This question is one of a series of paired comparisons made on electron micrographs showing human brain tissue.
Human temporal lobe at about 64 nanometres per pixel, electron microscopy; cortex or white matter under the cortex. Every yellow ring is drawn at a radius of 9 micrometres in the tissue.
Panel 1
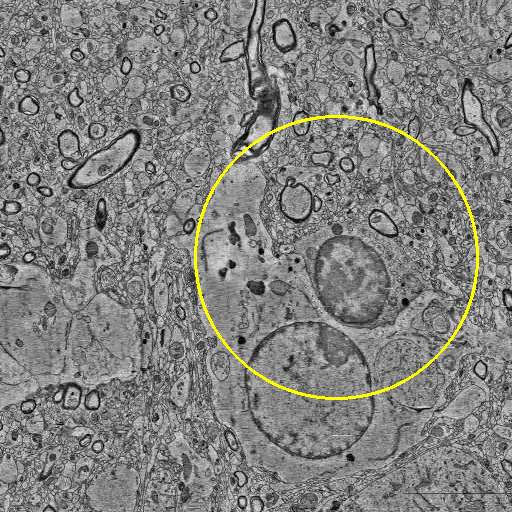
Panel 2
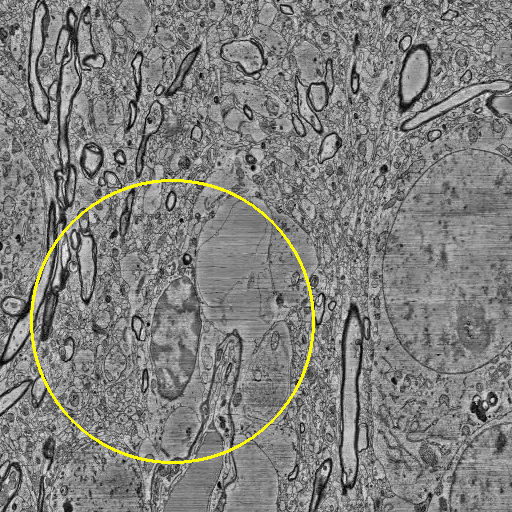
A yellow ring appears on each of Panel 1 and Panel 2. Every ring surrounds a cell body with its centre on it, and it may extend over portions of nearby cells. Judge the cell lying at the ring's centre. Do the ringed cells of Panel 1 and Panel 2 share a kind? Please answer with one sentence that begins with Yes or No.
No, the ring-centre cell in Panel 1 and the one in Panel 2 are of two kinds.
